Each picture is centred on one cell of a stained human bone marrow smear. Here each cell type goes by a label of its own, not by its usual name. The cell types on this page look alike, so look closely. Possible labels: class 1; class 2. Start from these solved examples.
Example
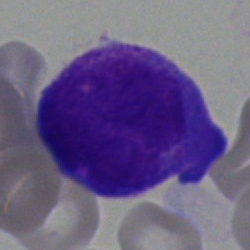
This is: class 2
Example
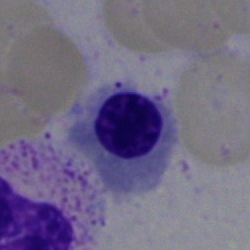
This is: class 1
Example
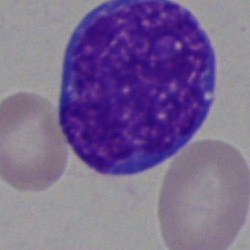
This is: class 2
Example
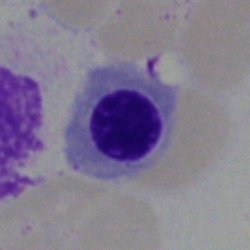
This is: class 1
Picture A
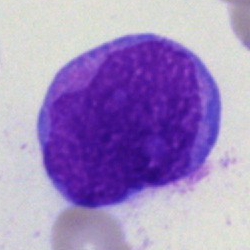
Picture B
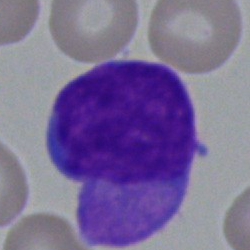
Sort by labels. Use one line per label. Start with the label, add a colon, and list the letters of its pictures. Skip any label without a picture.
class 2: A, B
